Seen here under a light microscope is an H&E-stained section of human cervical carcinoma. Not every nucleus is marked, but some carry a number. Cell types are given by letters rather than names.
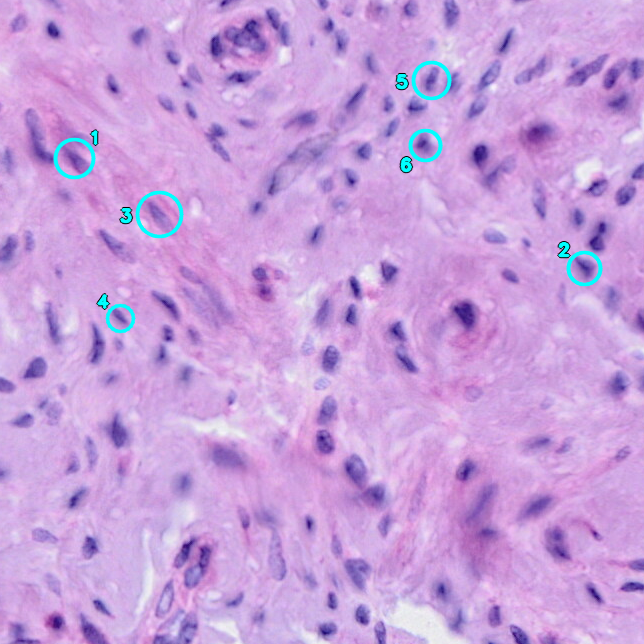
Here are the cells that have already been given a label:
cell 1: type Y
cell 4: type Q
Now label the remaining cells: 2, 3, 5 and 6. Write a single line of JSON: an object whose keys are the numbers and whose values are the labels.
{"2": "type Q", "3": "type Y", "5": "type Q", "6": "type Q"}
